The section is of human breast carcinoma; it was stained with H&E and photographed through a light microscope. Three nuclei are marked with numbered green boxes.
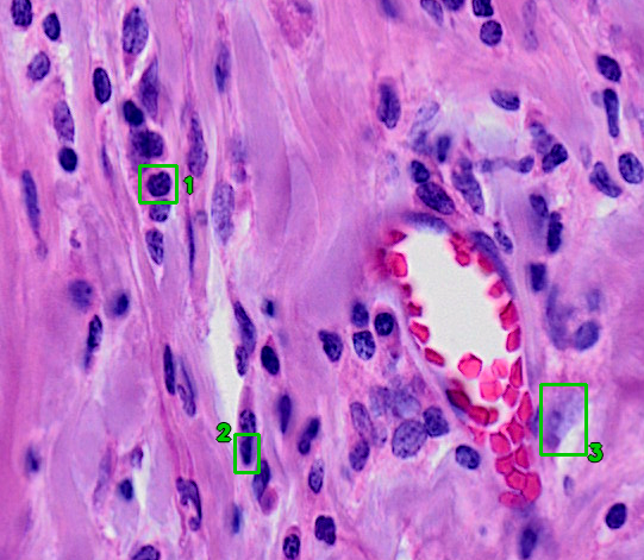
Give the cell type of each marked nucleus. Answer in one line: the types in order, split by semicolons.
lymphocyte; lymphocyte; fibroblast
